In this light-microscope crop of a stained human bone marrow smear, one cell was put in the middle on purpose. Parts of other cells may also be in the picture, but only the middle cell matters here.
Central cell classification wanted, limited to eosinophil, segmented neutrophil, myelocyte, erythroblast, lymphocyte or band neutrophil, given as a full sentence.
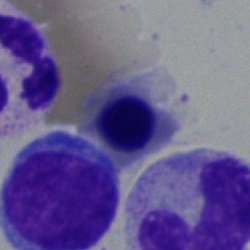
The cell found in the middle of this crop is an erythroblast.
